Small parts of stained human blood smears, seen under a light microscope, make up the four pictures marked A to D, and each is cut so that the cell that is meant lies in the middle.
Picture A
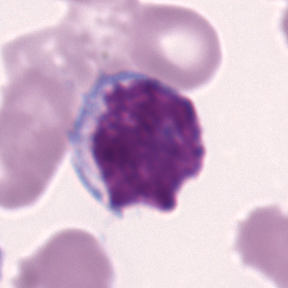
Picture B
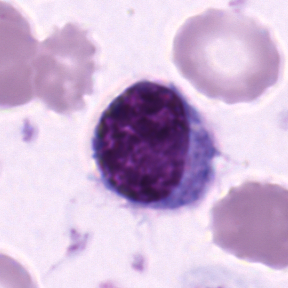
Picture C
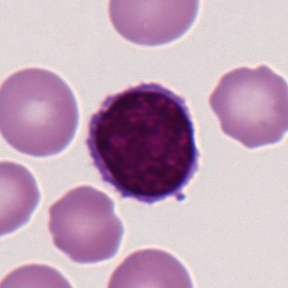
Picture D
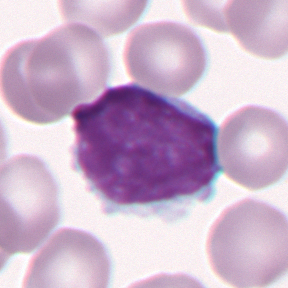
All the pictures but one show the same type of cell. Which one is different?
B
